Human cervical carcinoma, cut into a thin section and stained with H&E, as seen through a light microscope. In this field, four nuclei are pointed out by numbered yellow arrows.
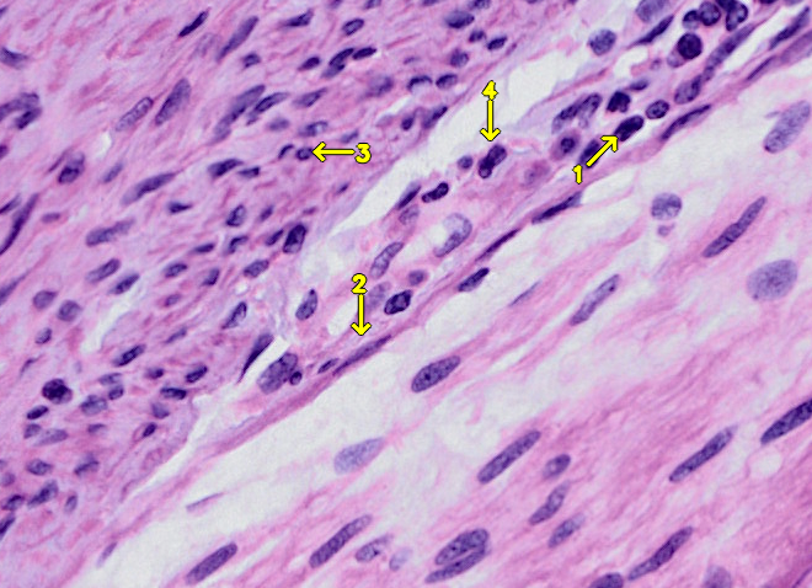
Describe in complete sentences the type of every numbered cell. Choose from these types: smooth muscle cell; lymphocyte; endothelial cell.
Cells 1 and 4 are lymphocytes. Cell 2 is an endothelial cell. Cell 3 is a smooth muscle cell.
